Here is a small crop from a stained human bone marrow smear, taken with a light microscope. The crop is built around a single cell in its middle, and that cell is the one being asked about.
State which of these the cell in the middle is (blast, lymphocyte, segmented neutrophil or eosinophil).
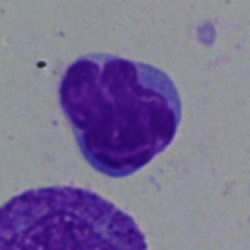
lymphocyte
